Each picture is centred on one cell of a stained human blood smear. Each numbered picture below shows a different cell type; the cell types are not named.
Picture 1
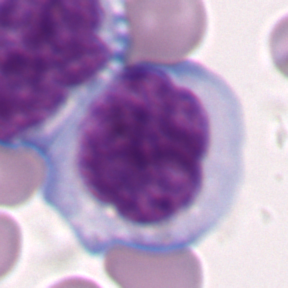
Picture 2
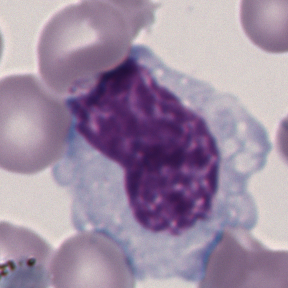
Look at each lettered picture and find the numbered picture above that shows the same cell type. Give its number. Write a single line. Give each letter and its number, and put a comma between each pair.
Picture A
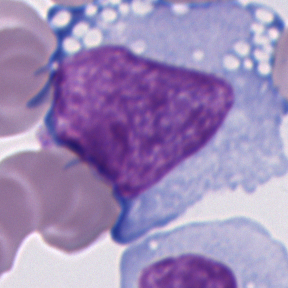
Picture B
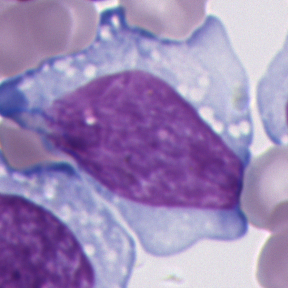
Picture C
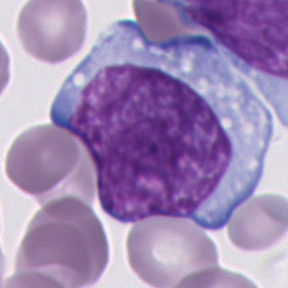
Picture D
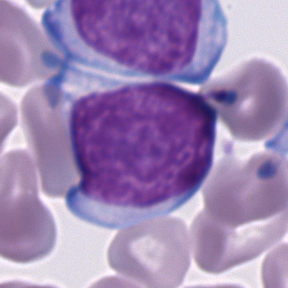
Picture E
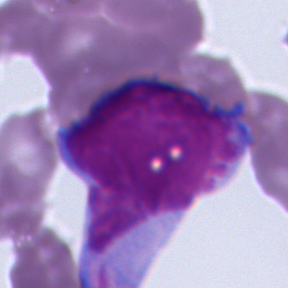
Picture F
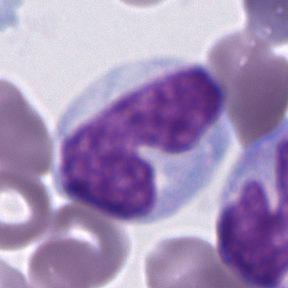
A 1, B 1, C 1, D 1, E 1, F 2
